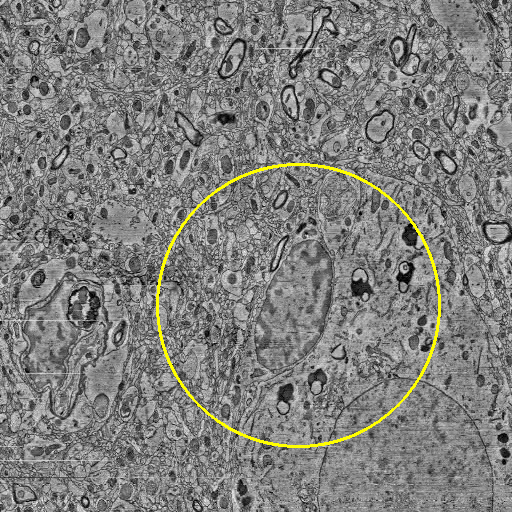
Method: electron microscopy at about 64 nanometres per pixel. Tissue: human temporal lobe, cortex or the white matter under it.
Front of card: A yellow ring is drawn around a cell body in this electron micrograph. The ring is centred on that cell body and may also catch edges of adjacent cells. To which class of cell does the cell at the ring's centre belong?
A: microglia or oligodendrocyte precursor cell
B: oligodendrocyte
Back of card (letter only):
B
